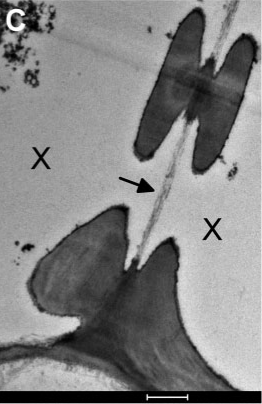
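Walls between two xylem vessels, whose pale empty lumens lie to the left and right. The shared wall forms bordered pits: thick, dark, rounded wall thickenings arch over narrow openings from both sides. Across the lower opening a thin, faint, fibrous membrane stretches between the flanges, much less dense than the surrounding wall. Above it a second pit is cut as a paired dark lobed shape, with a faint thin line passing through it. Along the bottom edge, the base of the wall continues into thick layered wall material.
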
